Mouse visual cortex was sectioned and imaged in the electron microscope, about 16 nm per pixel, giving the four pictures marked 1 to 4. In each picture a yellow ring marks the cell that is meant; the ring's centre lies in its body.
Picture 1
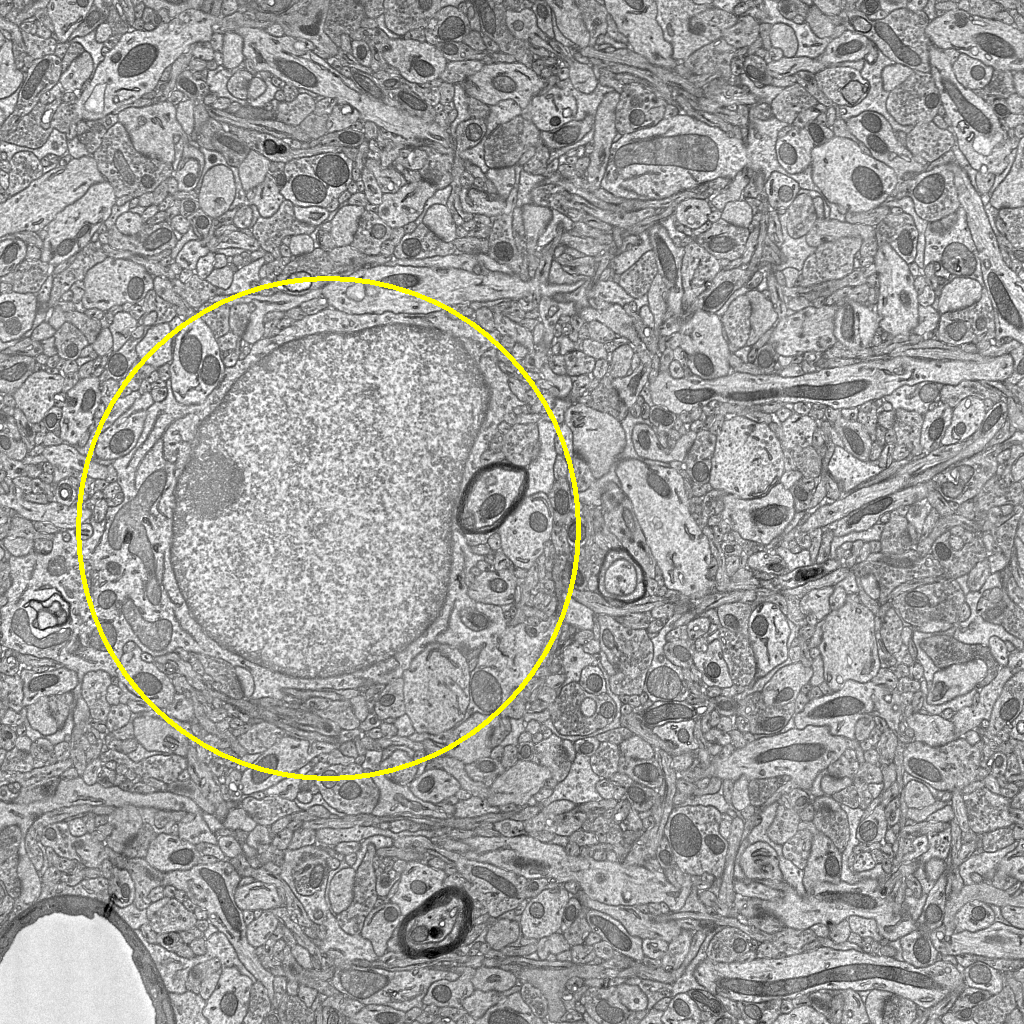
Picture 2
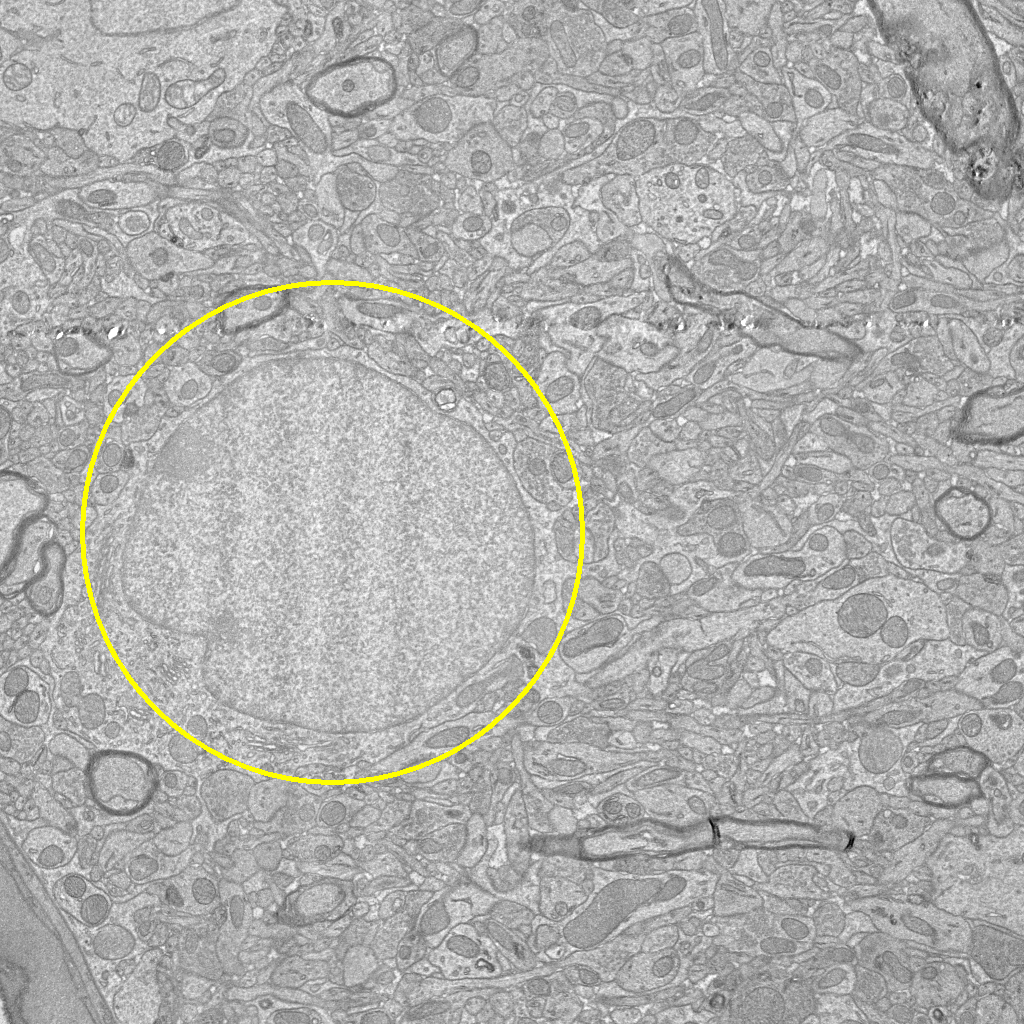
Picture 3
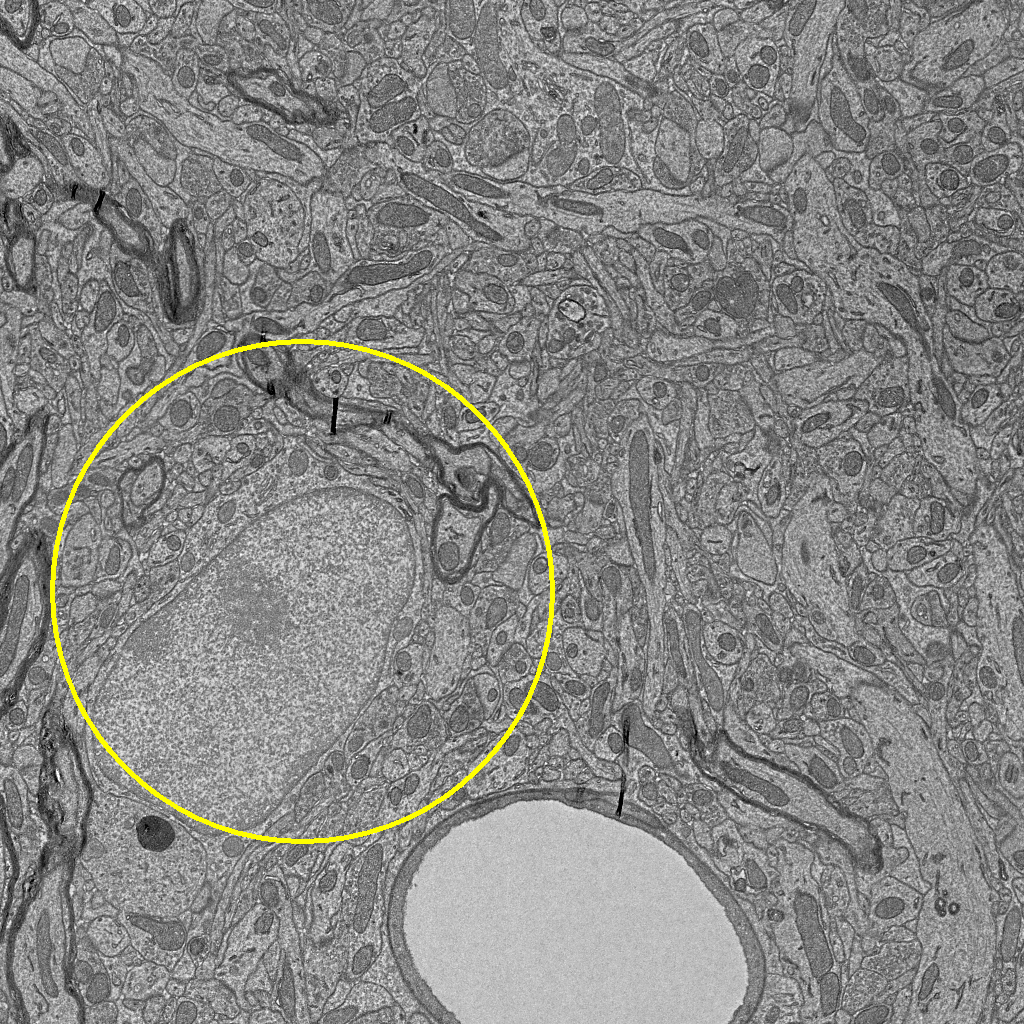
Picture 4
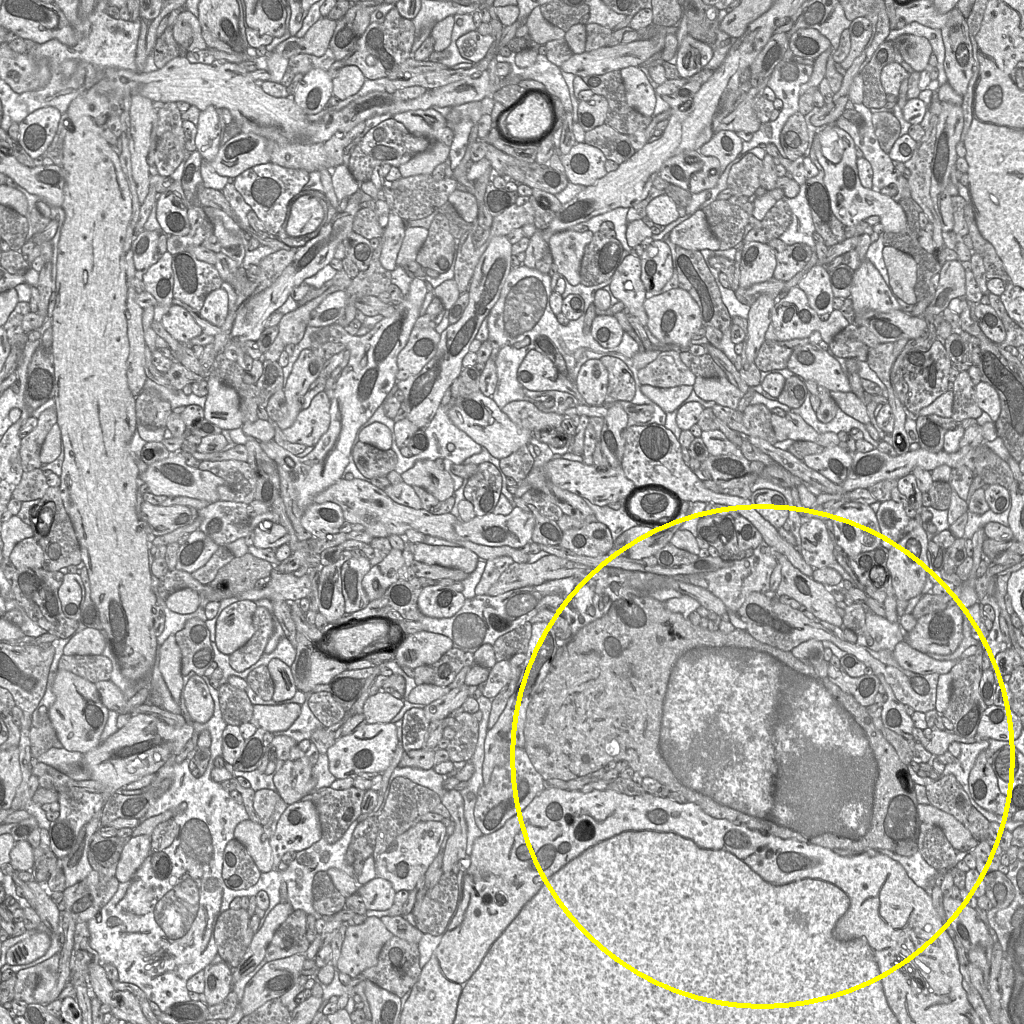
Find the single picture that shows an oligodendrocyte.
The oligodendrocyte is the one in picture 4.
